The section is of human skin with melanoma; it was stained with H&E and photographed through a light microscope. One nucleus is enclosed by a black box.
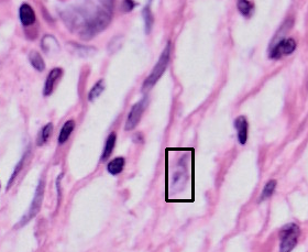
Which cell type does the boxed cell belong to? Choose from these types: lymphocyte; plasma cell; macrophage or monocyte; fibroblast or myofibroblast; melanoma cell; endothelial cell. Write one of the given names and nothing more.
fibroblast or myofibroblast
